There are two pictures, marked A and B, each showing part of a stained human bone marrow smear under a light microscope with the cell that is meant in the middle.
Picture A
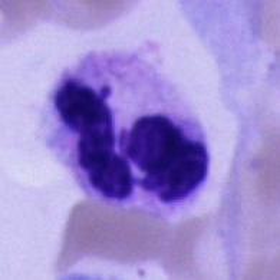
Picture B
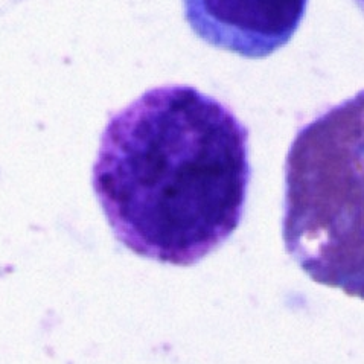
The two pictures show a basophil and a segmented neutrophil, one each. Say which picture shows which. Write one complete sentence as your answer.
Picture B shows a basophil, while picture A shows a segmented neutrophil.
